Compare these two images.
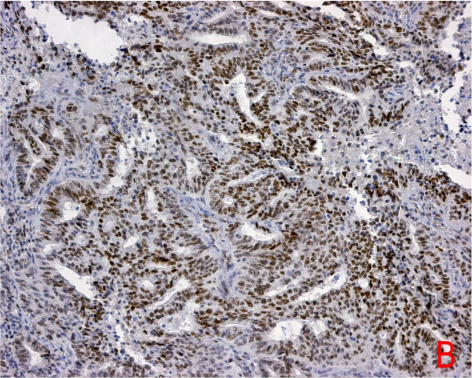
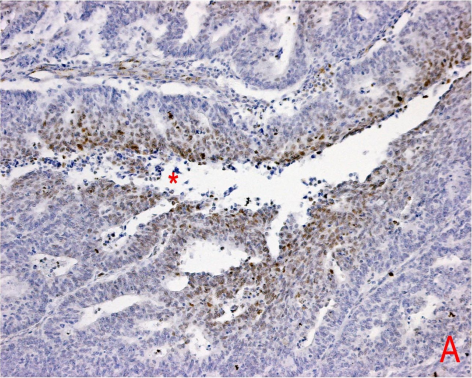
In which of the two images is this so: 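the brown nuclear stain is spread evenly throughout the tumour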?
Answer: The first image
